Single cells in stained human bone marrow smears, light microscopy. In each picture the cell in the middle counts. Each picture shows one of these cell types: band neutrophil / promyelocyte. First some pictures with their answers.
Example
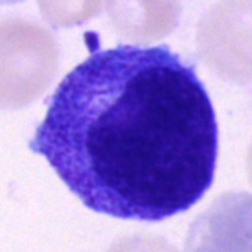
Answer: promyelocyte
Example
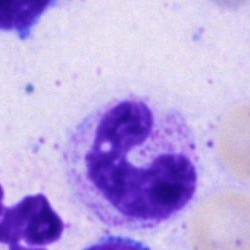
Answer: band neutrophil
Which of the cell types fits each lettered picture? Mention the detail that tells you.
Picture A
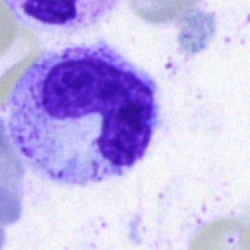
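band neutrophil: The nucleus is bent into a deeply indented horseshoe shape.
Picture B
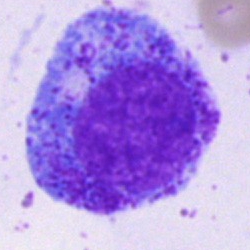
promyelocyte: The nuclear chromatin looks finely stippled rather than coarsely clumped.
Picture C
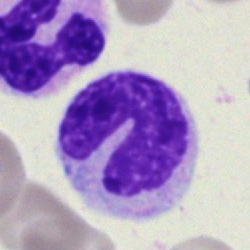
band neutrophil: The nucleus is indented by a deep narrow cleft, giving it a curved horseshoe shape rather than separate lobes.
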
